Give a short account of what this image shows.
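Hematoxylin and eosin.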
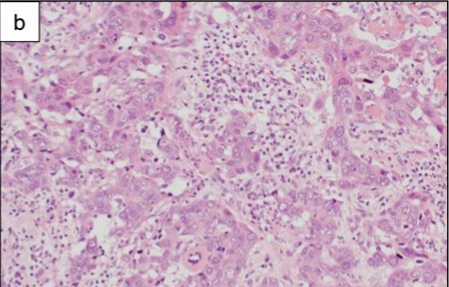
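This is an invasive carcinoma made of nests and cords of large polygonal tumour cells set in a pale stroma. The tumour cells have abundant pale pink cytoplasm and enlarged round nuclei with distinct nucleoli. Between the nests lie scattered small dark lymphocytes and pale connective tissue.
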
